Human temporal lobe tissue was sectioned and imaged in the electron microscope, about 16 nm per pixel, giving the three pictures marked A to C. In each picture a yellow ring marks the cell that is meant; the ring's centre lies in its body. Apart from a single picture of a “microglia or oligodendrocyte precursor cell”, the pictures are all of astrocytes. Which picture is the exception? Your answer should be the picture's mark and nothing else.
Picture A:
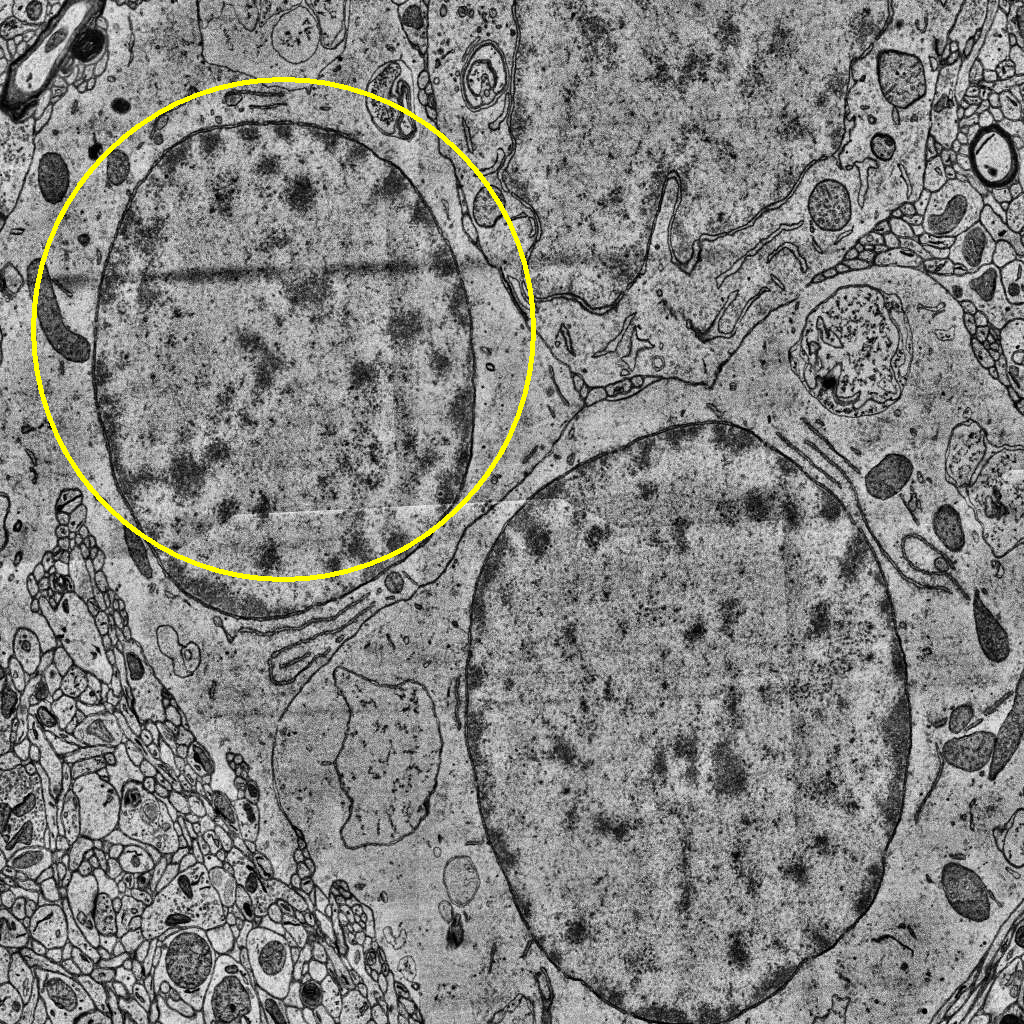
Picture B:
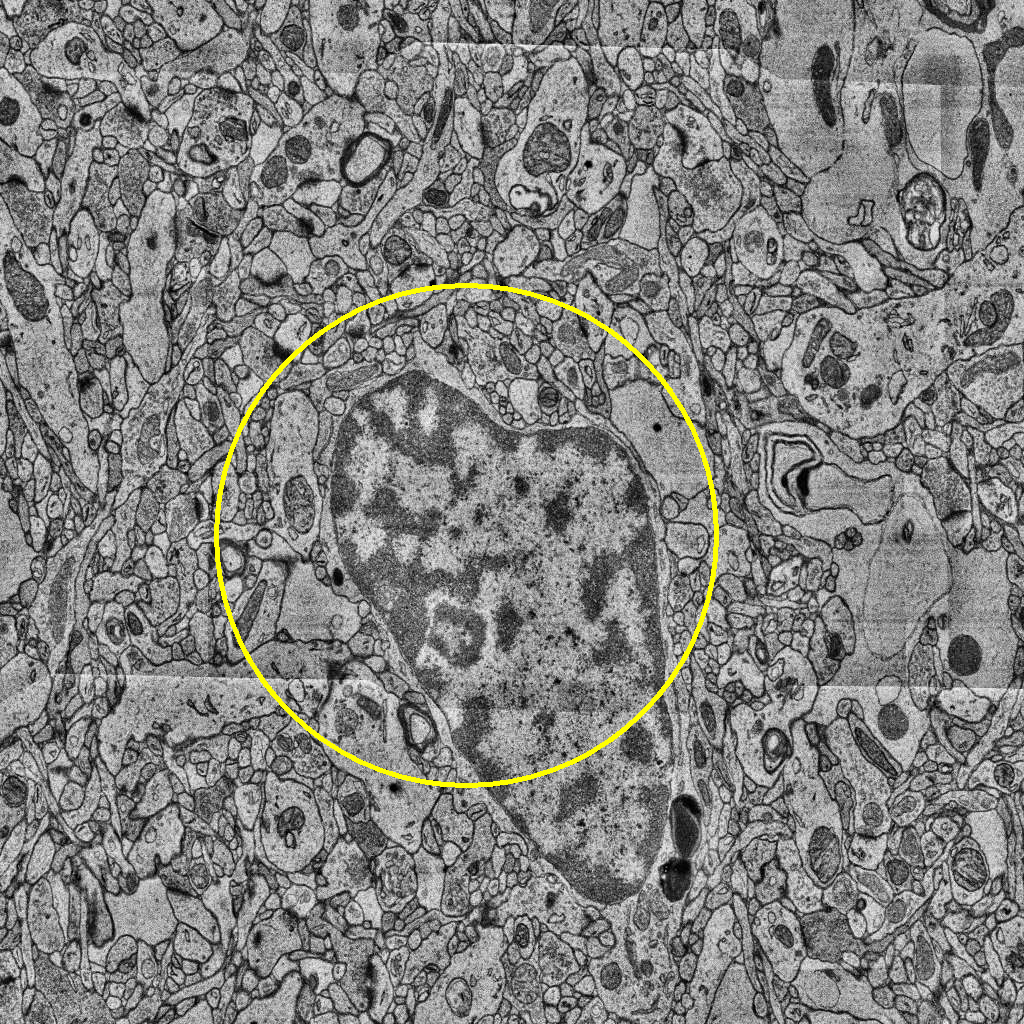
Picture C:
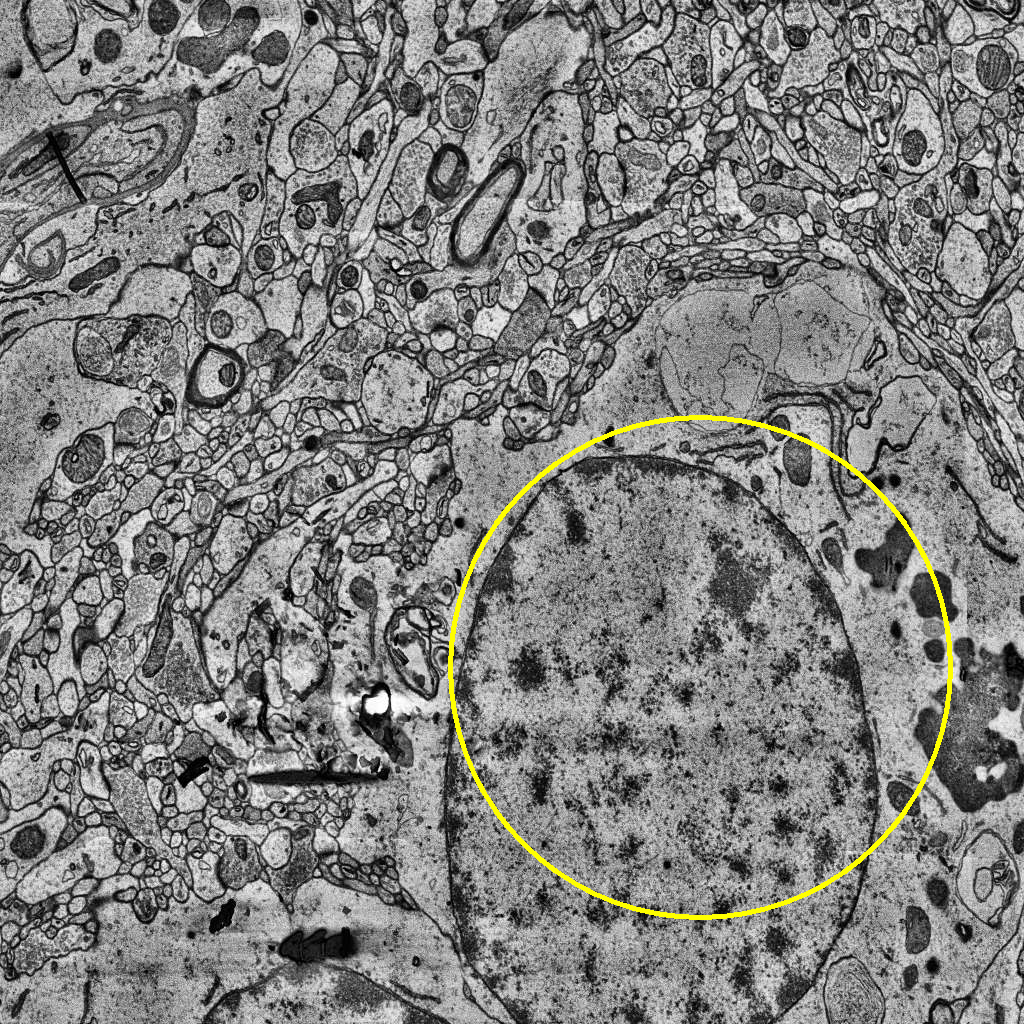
B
